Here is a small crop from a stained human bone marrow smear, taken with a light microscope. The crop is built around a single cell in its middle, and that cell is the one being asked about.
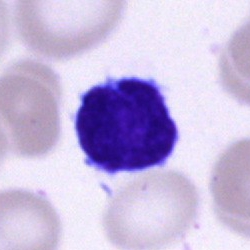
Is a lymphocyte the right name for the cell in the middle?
yes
